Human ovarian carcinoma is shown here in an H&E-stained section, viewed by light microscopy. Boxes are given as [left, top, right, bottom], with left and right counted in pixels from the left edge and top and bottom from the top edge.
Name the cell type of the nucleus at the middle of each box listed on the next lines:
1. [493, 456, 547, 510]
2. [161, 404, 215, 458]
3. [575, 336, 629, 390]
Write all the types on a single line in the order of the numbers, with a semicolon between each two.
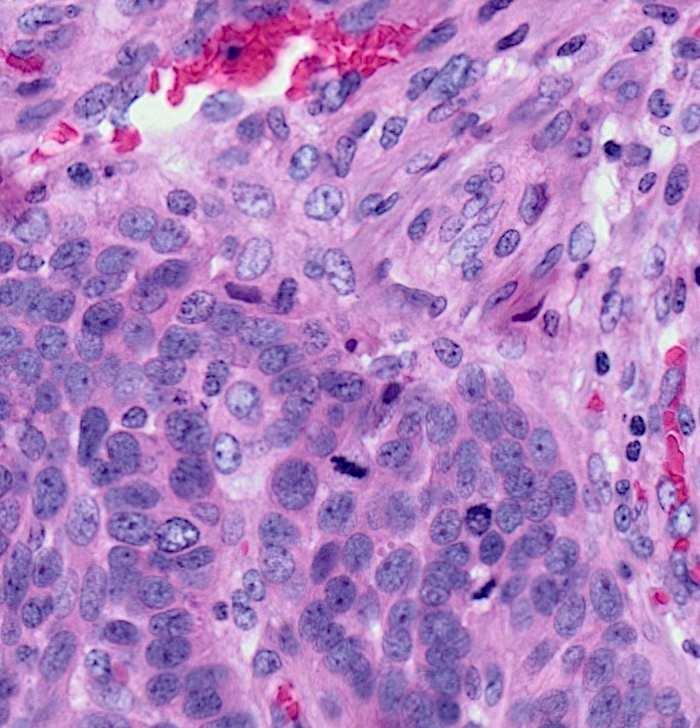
carcinoma cell; carcinoma cell; lymphocyte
